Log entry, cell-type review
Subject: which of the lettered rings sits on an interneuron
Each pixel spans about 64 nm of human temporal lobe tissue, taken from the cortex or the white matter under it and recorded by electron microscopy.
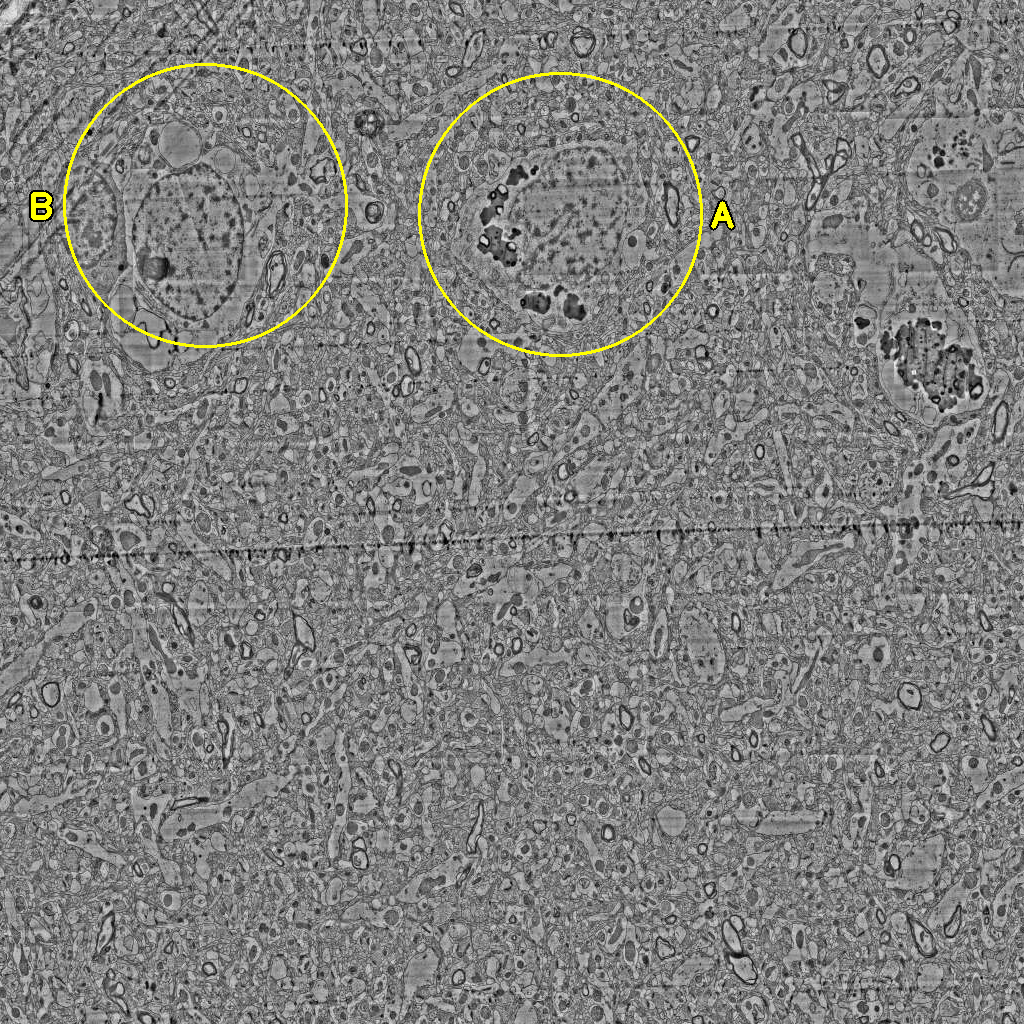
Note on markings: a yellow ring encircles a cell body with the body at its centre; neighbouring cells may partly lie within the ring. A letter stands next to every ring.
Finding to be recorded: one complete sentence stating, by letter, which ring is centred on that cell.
The cell sits at the centre of ring A.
